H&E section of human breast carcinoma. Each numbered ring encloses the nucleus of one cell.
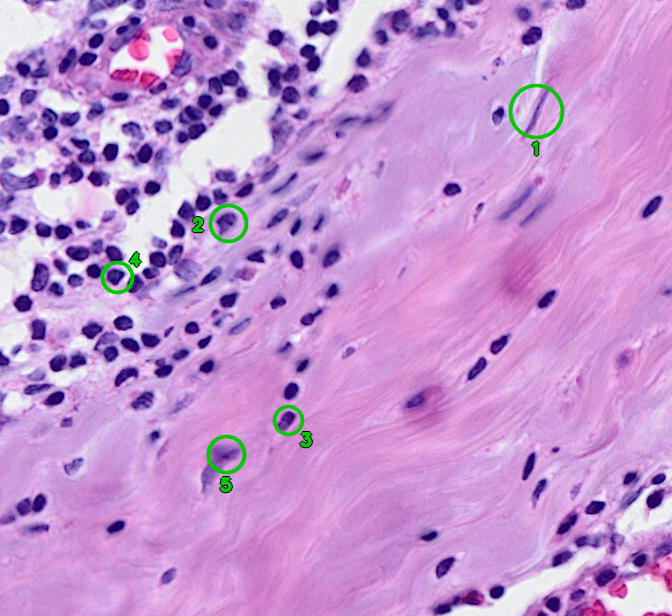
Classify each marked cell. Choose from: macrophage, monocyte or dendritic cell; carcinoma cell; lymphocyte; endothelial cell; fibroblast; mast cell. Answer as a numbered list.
1. fibroblast
2. lymphocyte
3. lymphocyte
4. lymphocyte
5. fibroblast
